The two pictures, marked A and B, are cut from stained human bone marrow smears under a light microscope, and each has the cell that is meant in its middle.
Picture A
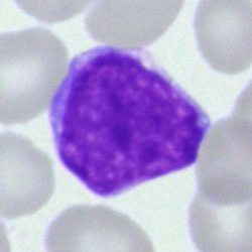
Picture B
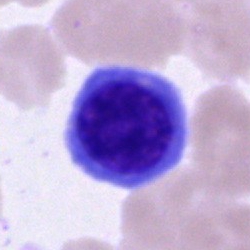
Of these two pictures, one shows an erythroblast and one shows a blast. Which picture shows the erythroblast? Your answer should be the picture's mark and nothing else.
B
